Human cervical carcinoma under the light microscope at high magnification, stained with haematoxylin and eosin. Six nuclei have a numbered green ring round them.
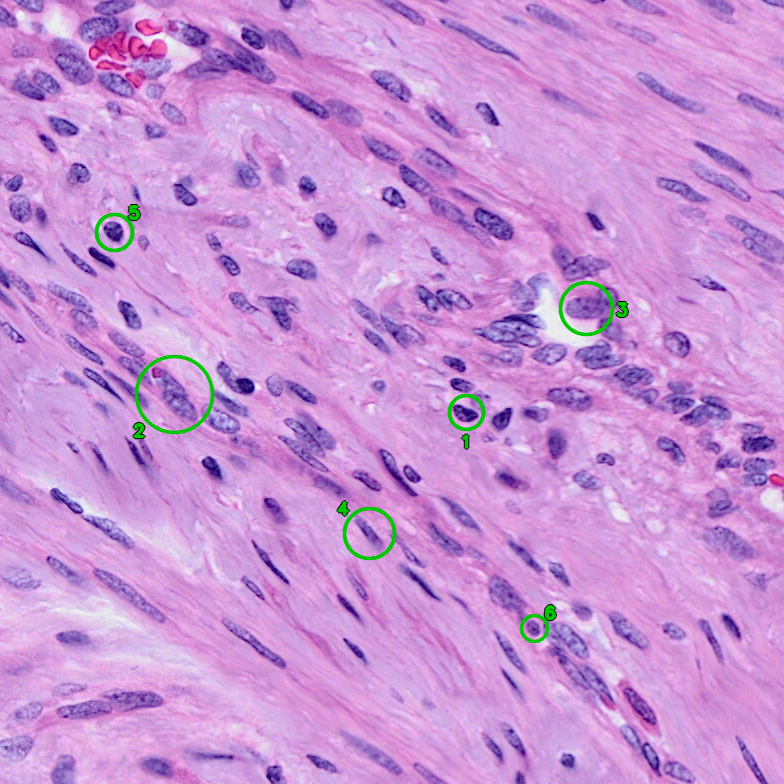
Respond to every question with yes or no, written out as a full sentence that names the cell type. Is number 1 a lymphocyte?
Yes, cell number 1 in this section is a lymphocyte.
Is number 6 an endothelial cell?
Yes, within this section, cell number 6 is an endothelial cell.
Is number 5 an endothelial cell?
No, cell 5 is not an endothelial cell. It is a lymphocyte.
